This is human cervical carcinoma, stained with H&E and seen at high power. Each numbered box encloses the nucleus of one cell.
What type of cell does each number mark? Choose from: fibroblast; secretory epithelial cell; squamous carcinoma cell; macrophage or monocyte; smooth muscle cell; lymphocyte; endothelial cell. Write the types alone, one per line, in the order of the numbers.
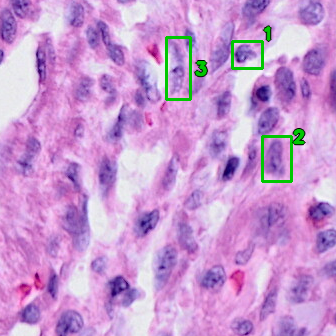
lymphocyte
macrophage or monocyte
endothelial cell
